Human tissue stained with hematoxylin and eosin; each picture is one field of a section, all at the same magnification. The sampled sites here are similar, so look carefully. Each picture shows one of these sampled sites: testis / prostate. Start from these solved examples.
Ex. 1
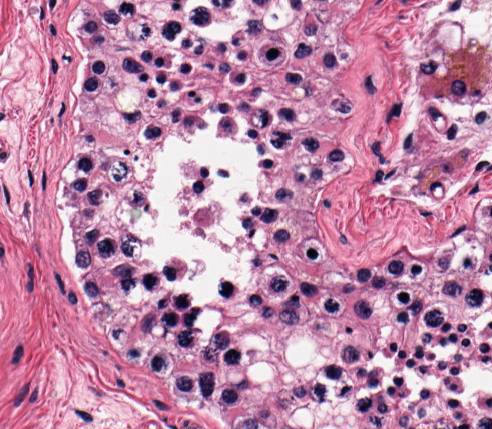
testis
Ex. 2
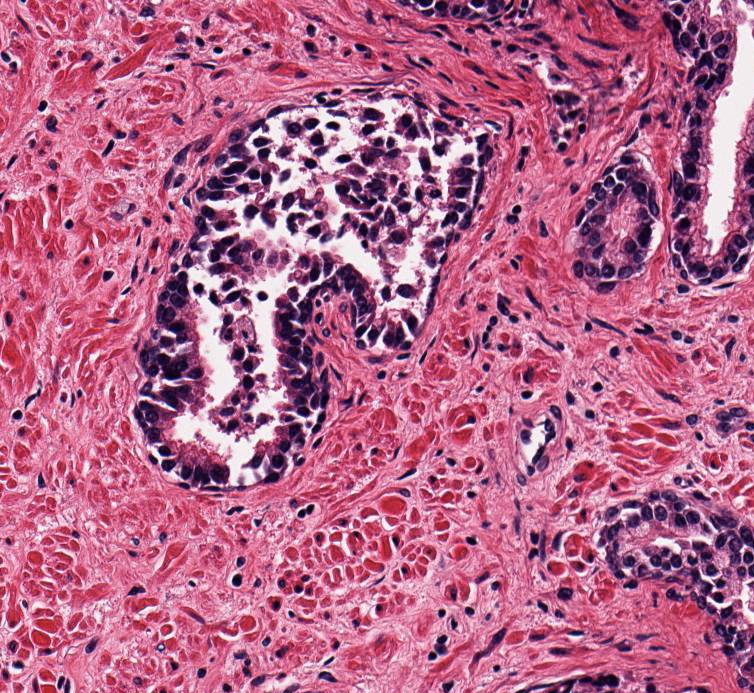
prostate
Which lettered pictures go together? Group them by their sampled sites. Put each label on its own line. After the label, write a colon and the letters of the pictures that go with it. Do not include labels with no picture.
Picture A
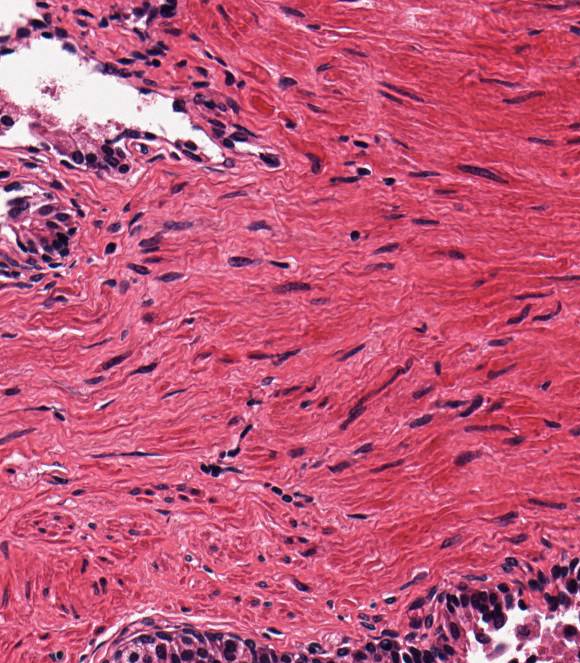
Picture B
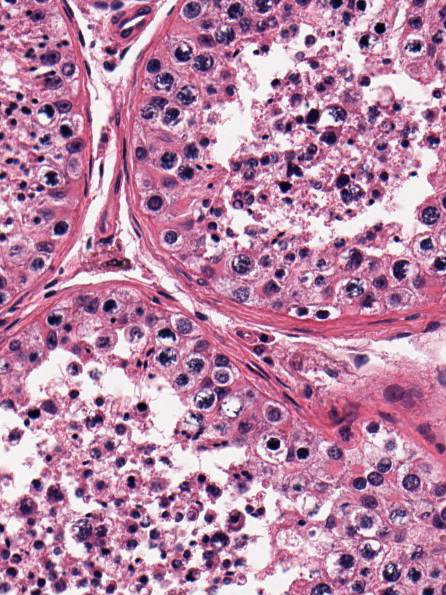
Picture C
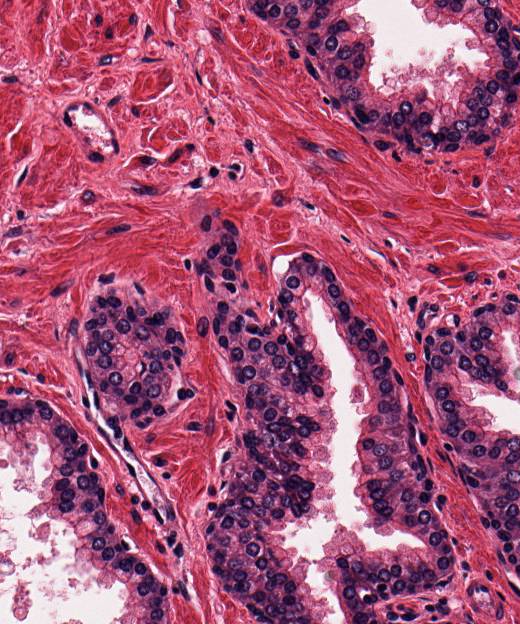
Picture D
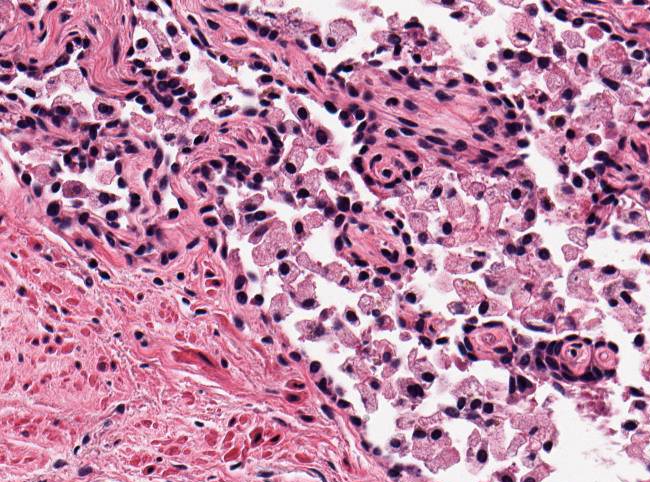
testis: B
prostate: A, C, D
